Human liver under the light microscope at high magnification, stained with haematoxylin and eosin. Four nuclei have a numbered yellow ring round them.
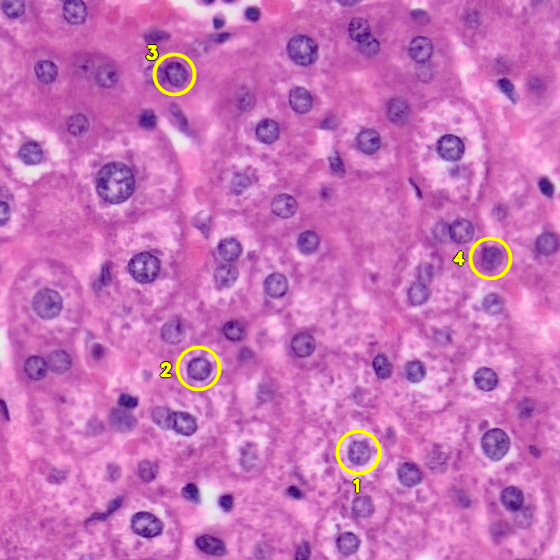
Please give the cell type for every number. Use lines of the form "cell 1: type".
cell 1: hepatocyte
cell 2: hepatocyte
cell 3: hepatocyte
cell 4: endothelial cell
